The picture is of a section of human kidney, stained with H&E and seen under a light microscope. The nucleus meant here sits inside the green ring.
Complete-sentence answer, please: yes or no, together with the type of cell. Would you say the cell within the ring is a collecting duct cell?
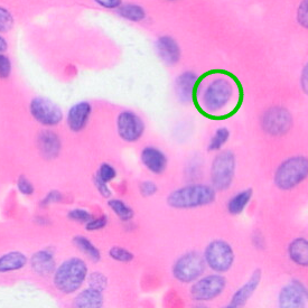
Yes, a collecting duct cell is what the cell within the ring is in this section.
